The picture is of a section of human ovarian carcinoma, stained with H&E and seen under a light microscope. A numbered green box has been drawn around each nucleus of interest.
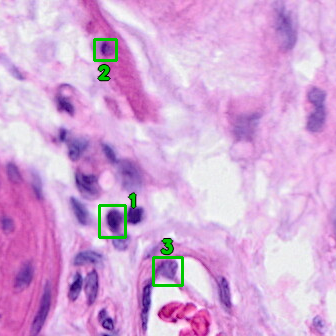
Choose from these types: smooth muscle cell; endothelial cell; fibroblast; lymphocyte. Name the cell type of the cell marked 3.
endothelial cell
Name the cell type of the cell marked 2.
smooth muscle cell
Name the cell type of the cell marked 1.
lymphocyte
